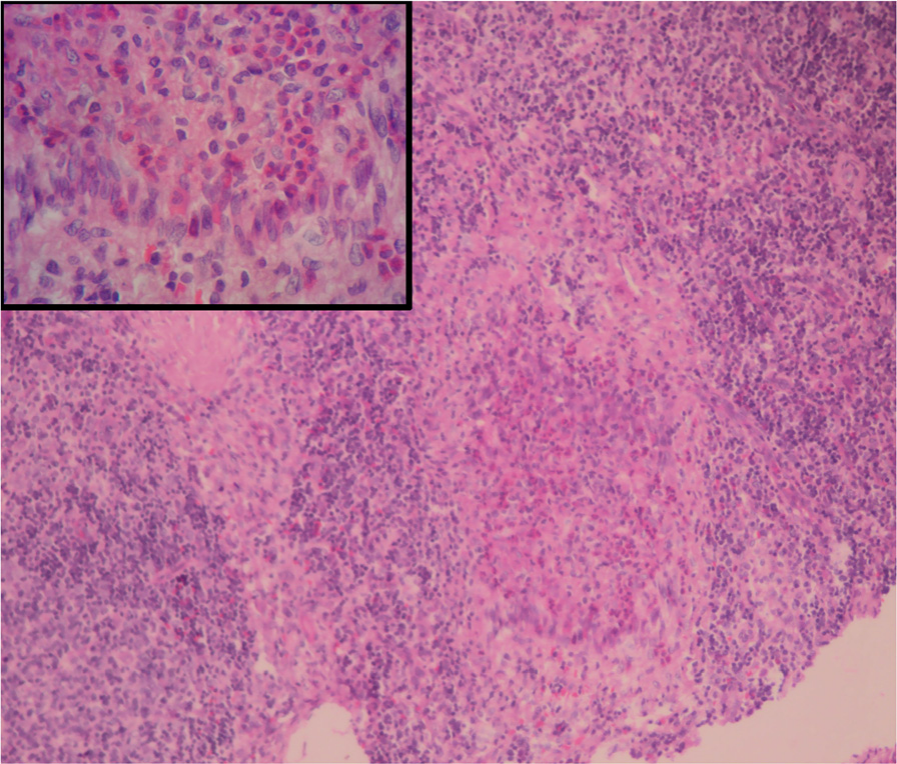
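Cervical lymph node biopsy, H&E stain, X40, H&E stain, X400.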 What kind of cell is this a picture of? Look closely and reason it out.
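In the inset, many cells have bright red-orange cytoplasm. These cells have small, dark nuclei. On this evidence: eosinophils.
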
